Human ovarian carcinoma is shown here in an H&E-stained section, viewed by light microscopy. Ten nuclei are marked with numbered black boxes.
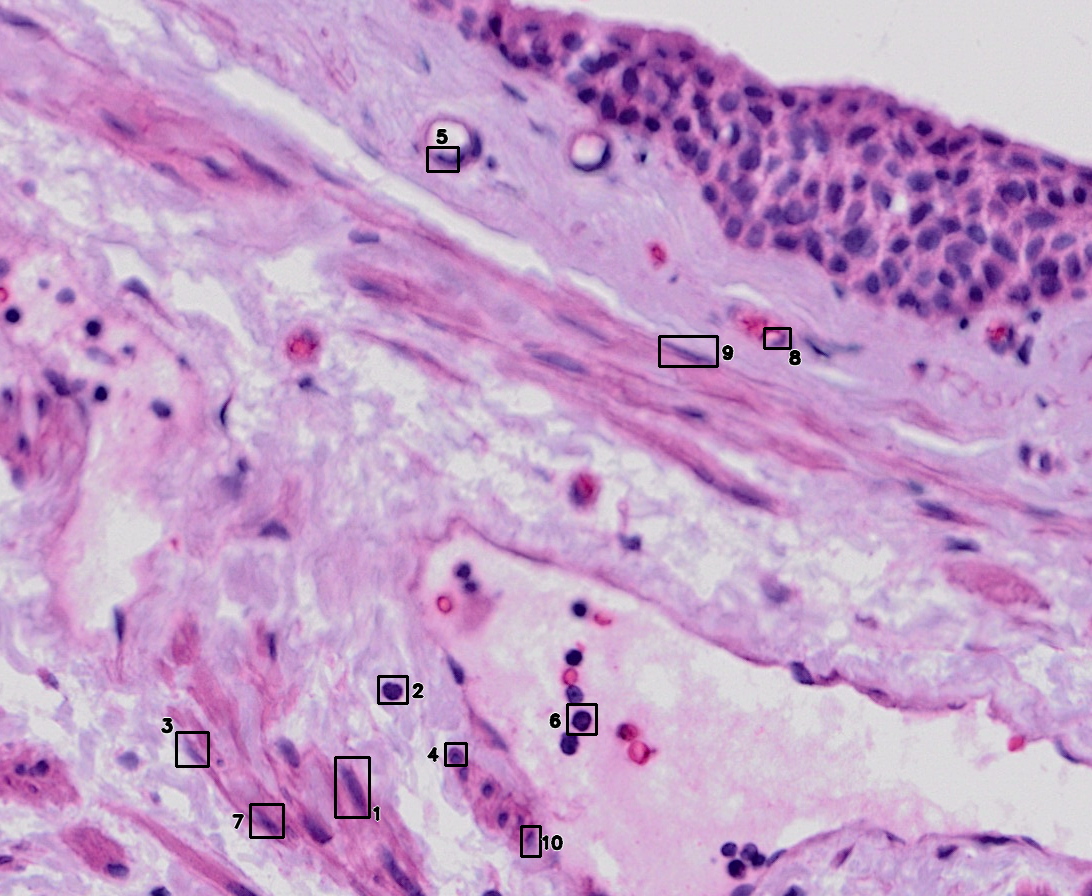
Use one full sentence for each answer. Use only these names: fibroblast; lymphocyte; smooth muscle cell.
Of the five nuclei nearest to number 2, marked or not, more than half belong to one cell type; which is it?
Smooth muscle cells make up most of the five nuclei closest to number 2.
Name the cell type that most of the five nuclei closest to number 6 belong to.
Most of the five nuclei nearest to number 6 are those of lymphocytes.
